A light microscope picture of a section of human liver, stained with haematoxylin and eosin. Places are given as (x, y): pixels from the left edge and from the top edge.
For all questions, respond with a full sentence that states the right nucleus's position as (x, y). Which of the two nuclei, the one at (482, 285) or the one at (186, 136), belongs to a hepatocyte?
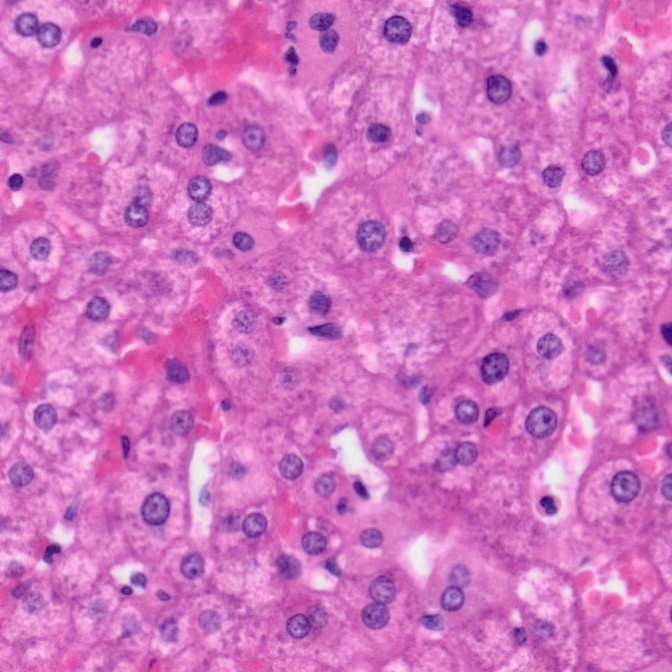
The nucleus contained in a hepatocyte is the one at (186, 136).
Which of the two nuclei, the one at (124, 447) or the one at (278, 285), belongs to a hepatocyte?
Of the pair, the nucleus positioned at (278, 285) is that of a hepatocyte.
